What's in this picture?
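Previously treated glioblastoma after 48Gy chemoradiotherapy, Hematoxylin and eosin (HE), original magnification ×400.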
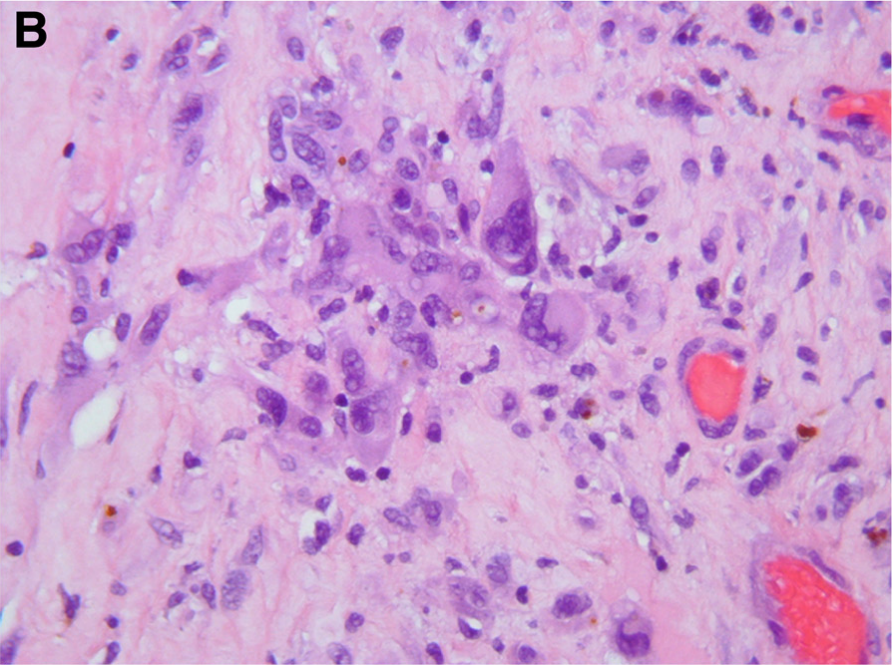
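Tumour cells with marked nuclear pleomorphism lie scattered and in loose clusters in a pale pink, fibrillar background. Some cells are large, with abundant pink cytoplasm and big irregular or multiple dark nuclei, while others are small with round dense nuclei. A few small brown granules are scattered among the cells.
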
